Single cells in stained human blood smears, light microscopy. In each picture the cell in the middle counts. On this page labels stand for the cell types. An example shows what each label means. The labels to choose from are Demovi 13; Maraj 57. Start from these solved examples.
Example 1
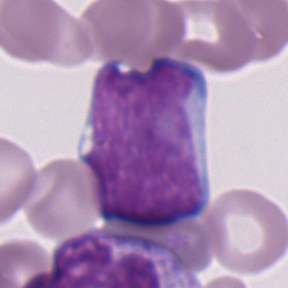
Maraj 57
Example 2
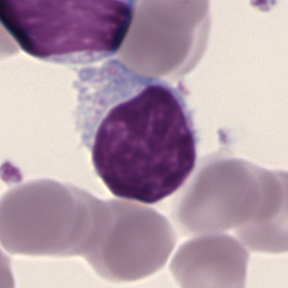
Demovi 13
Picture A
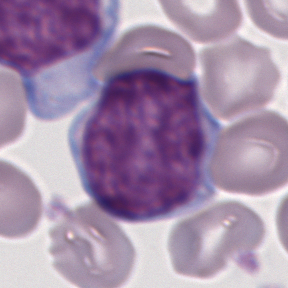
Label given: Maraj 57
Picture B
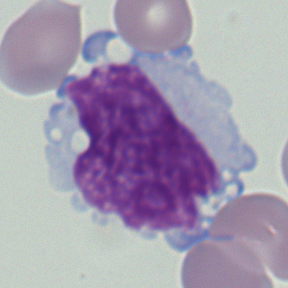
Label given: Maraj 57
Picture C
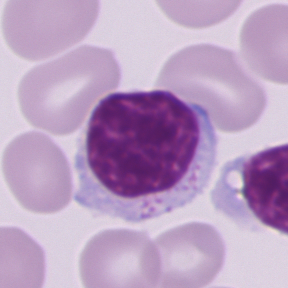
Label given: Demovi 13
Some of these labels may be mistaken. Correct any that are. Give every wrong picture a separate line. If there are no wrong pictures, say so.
No label is wrong.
